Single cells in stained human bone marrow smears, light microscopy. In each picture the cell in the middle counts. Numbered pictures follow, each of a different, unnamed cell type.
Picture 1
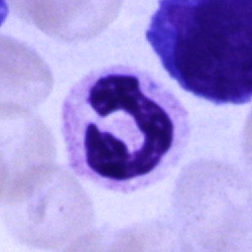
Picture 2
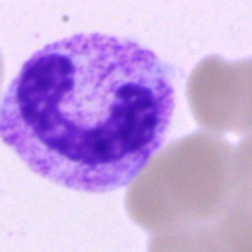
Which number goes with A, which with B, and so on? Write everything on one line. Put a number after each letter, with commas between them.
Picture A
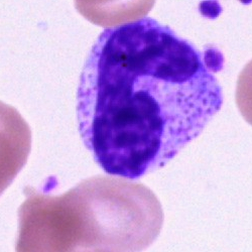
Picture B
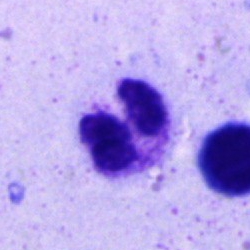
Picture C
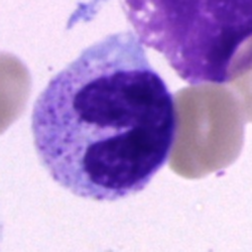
A 2, B 1, C 2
